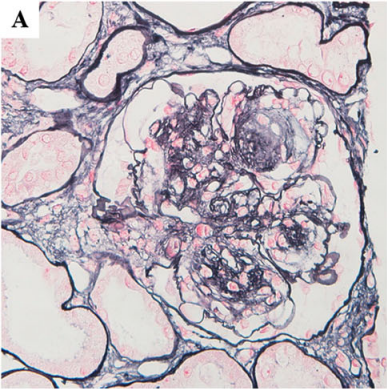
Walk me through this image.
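A glomerulus is shown in kidney tissue, its tuft divided into lobules each centred by a rounded, densely stained nodule. The nodules are surrounded by many crowded nuclei and by compressed capillary loops with dark silver-stained walls pushed to the edge of the lobules. The tuft lies in the space bounded by the capsule, and cross-sectioned tubules with pink cytoplasm surround it.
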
